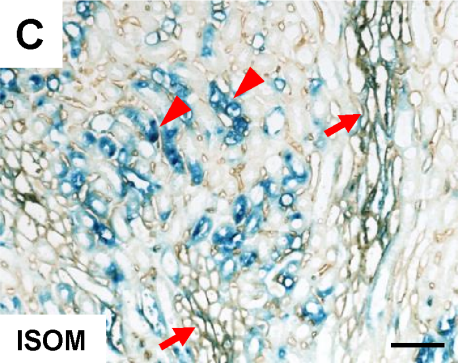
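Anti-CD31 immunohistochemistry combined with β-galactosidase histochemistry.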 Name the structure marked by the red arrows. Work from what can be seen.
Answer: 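The arrows point to bundles of thin-walled channels outlined in dark brown. These channels run in parallel streaks. On this evidence: medullary vessels.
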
